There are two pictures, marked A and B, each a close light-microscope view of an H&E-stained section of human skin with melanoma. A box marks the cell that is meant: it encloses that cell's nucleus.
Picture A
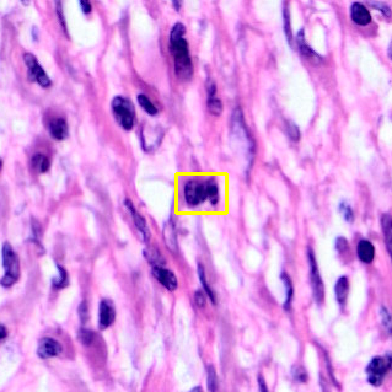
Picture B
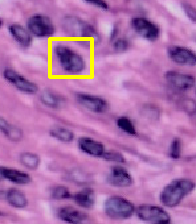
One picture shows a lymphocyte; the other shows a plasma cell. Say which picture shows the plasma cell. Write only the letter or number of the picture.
A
